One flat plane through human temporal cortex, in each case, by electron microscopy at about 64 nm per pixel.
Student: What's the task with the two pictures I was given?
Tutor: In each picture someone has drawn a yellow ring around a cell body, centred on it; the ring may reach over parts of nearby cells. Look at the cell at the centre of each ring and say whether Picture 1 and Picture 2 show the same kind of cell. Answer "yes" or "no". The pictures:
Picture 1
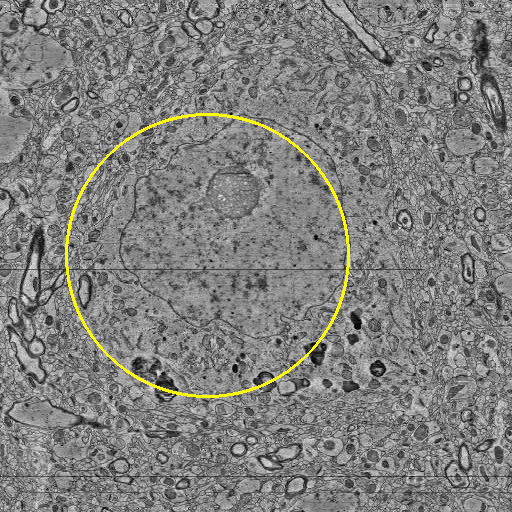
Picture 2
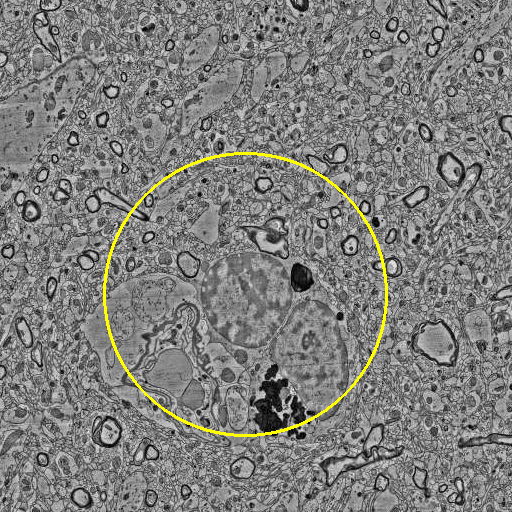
no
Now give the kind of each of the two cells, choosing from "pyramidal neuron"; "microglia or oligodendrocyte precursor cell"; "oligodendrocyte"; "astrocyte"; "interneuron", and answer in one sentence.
The cell in the first picture is a pyramidal neuron, and the cell in the second is an oligodendrocyte.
